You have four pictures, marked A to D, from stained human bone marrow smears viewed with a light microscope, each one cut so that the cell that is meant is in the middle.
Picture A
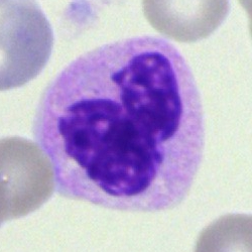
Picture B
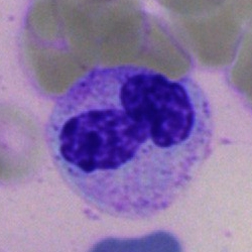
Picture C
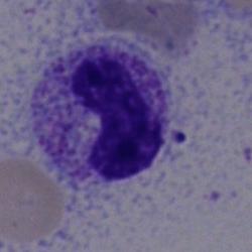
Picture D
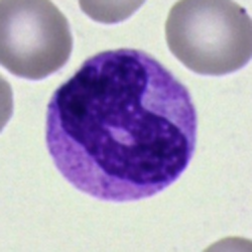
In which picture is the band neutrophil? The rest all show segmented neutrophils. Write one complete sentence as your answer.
It is picture C that shows the band neutrophil.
